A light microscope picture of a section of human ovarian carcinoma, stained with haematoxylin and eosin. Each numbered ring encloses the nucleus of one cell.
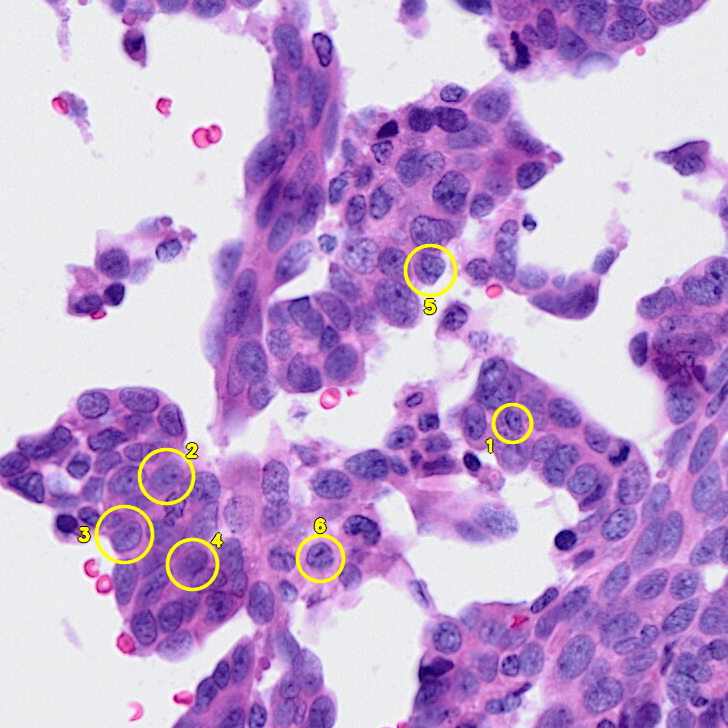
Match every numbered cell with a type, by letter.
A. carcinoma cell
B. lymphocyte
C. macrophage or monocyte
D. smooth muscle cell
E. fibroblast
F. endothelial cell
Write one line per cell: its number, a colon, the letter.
1: C
2: A
3: A
4: A
5: A
6: C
